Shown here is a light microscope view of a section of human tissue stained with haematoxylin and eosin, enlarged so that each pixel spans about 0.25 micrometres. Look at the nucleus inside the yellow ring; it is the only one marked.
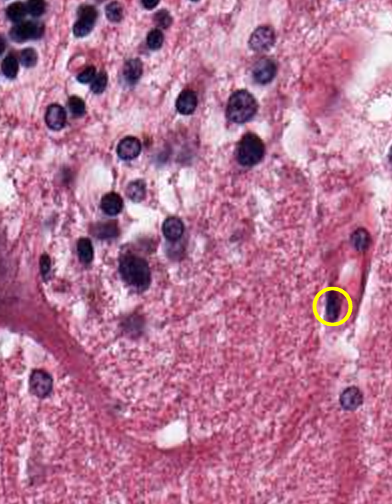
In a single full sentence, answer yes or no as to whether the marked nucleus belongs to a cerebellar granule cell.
No, it is not a cerebellar granule cell but a supporting cell to which the marked nucleus is assigned.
